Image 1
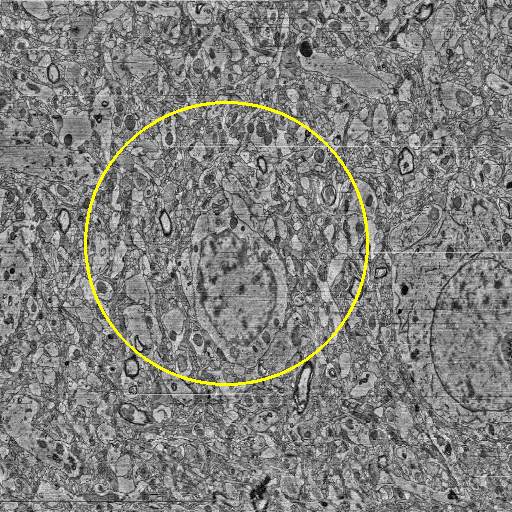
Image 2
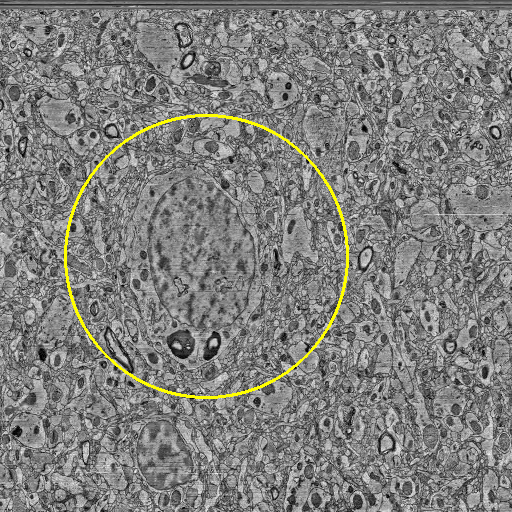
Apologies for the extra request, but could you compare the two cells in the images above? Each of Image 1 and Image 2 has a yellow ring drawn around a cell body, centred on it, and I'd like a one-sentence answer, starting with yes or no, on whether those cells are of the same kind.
Yes, both cells are of the same kind.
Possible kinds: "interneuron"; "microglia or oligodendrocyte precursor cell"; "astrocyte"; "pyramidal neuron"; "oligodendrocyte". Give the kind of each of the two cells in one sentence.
The cell in the first picture is an interneuron, and so is the one in the second.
